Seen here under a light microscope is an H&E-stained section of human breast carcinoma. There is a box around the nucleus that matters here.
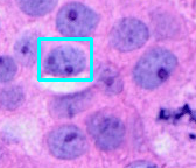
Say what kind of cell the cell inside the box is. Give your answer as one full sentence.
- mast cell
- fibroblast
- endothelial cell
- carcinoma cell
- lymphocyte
Labelled by cell type, the cell inside the box is a carcinoma cell.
